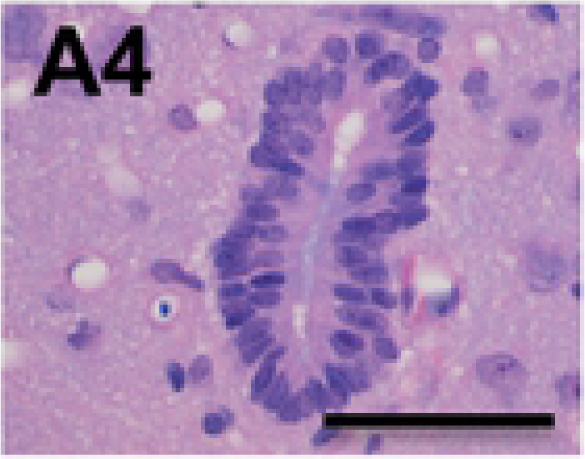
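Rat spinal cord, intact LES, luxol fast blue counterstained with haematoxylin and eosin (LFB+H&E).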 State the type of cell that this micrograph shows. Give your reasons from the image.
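Elongated cells with dark purple nuclei line a narrow slit-like lumen. The lining lies within pale pink neural tissue with scattered nuclei.
Ependymal cells.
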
